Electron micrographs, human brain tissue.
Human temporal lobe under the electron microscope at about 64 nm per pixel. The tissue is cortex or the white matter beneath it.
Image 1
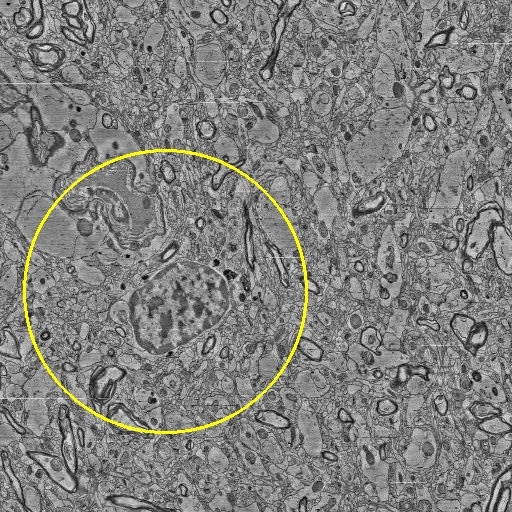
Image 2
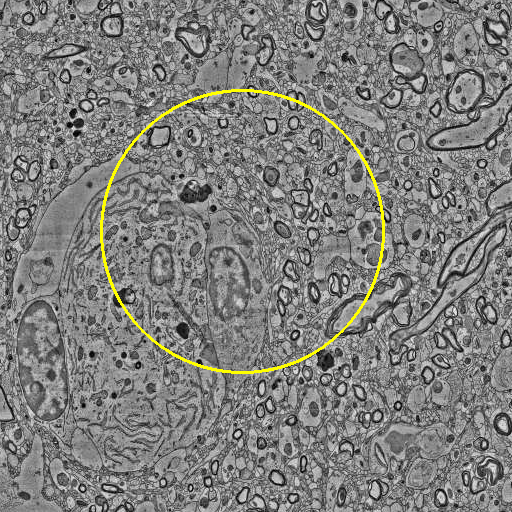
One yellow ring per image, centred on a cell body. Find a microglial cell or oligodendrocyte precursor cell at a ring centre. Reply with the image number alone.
1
